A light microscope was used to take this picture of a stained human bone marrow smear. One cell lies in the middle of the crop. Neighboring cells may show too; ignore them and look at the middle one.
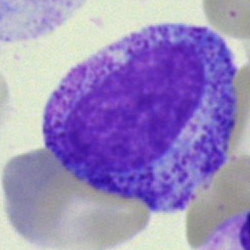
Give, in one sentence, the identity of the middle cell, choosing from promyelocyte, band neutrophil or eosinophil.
Within this crop, a promyelocyte occupies the central position.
